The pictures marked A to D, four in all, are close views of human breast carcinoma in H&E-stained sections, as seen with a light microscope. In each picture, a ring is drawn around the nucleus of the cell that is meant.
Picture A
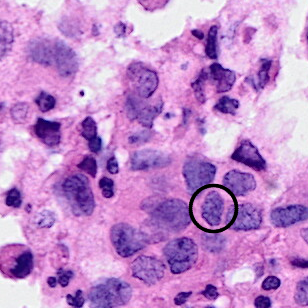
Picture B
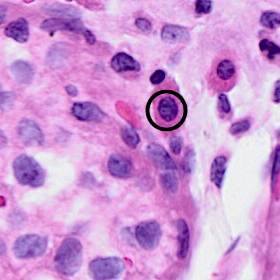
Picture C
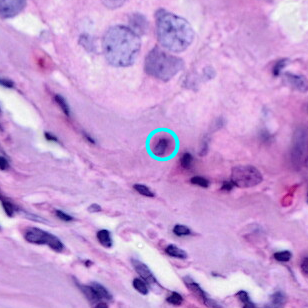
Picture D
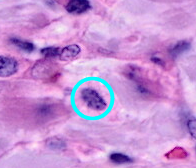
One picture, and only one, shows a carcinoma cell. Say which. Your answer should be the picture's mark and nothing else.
A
